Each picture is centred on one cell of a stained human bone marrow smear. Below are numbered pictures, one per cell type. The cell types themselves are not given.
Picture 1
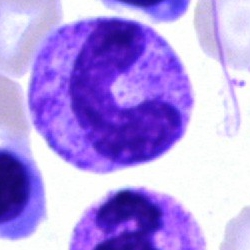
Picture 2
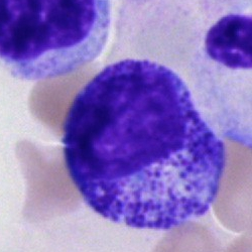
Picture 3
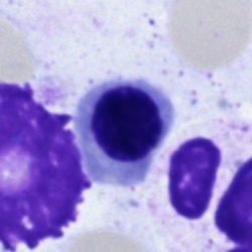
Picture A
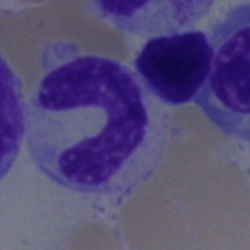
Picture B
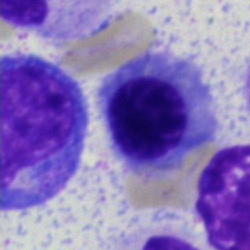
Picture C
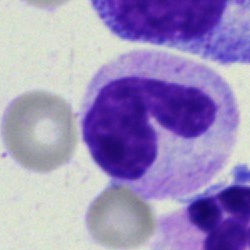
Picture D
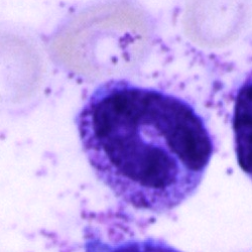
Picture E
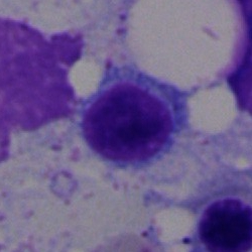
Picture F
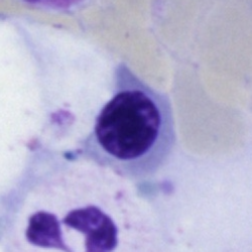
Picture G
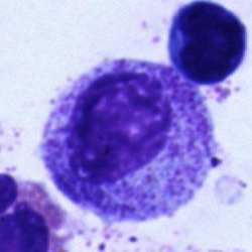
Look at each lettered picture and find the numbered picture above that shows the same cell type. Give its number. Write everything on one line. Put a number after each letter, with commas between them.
A 1, B 3, C 1, D 1, E 3, F 3, G 2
